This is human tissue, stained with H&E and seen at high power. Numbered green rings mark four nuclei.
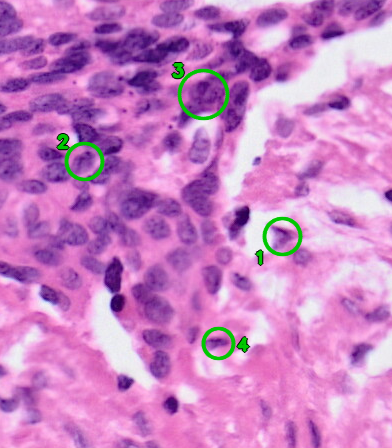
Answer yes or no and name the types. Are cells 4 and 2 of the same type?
No, cell 4 is a fibroblast and cell 2 is a carcinoma cell.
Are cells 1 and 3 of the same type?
No, cell 1 is a fibroblast and cell 3 is a carcinoma cell.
